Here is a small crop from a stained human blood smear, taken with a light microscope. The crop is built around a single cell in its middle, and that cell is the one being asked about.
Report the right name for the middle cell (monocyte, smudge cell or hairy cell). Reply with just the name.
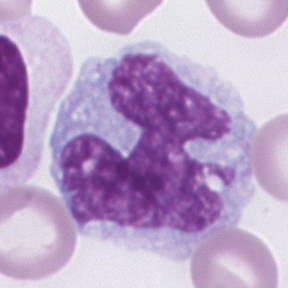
monocyte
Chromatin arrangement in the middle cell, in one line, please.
The chromatin pattern is fine and free of coarse clumps.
